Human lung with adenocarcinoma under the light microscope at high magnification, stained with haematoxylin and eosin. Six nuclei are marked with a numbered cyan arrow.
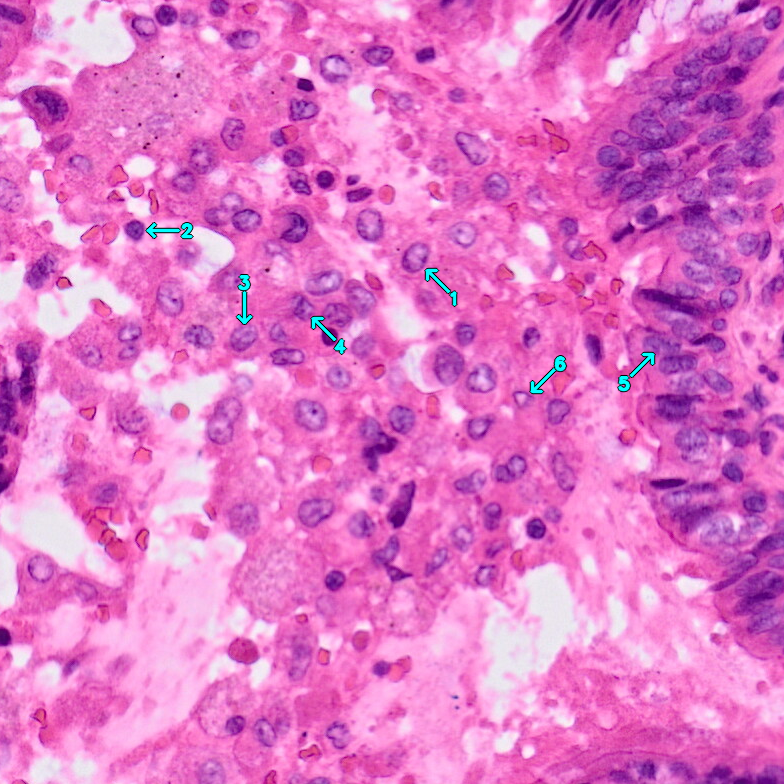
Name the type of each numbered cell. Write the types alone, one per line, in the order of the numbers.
macrophage or monocyte
lymphocyte
macrophage or monocyte
macrophage or monocyte
ciliated epithelial cell
macrophage or monocyte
